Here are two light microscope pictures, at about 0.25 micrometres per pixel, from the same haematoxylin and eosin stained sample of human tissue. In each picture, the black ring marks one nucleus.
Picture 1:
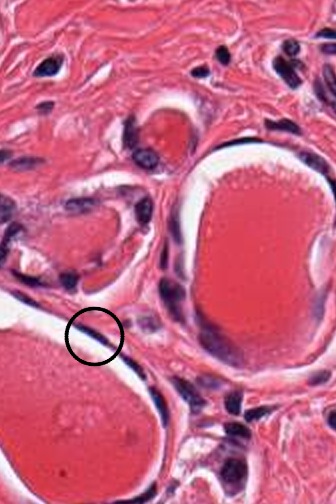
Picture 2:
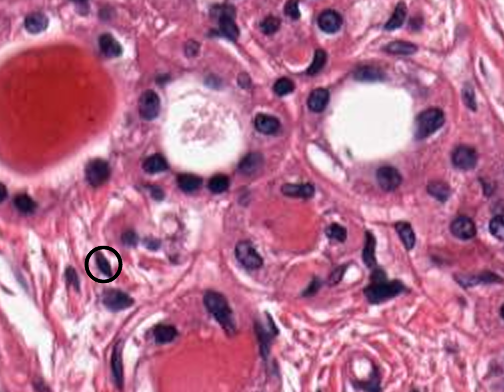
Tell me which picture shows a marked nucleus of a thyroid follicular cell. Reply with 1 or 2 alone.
1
